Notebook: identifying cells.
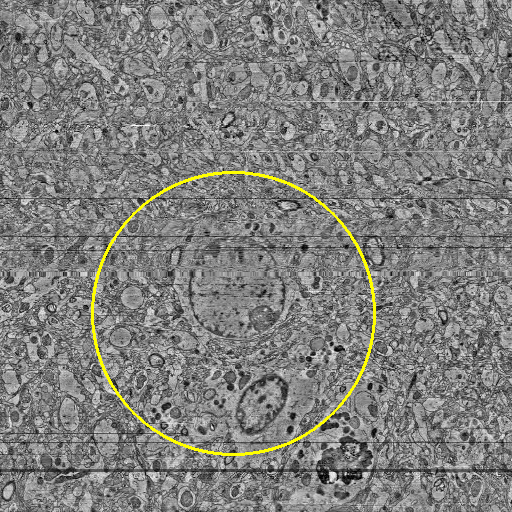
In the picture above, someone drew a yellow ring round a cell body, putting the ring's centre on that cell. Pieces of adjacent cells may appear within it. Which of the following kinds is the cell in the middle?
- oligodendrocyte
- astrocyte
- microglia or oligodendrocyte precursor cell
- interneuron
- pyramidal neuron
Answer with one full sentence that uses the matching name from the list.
In this picture, the yellow ring is centred on the body of an astrocyte.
